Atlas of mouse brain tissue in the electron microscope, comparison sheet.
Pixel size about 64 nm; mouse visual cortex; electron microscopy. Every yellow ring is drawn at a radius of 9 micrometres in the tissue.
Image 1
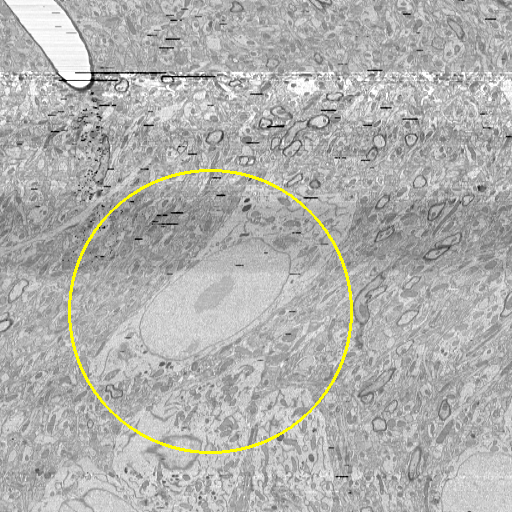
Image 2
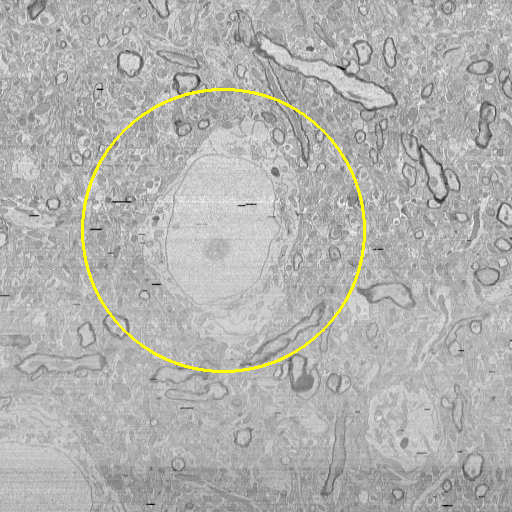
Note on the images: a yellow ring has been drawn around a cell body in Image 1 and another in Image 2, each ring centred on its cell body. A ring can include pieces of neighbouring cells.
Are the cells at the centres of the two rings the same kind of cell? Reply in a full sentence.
Yes, both cells are of the same kind.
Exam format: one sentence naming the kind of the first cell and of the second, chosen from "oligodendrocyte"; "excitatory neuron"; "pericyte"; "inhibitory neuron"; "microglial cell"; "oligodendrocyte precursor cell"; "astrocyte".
The second cell is an excitatory neuron, just as the first is.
